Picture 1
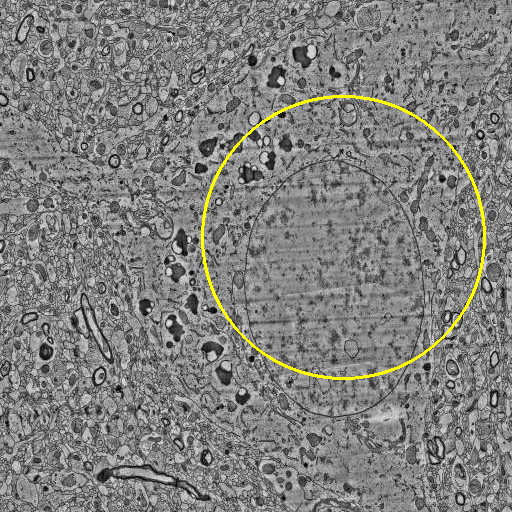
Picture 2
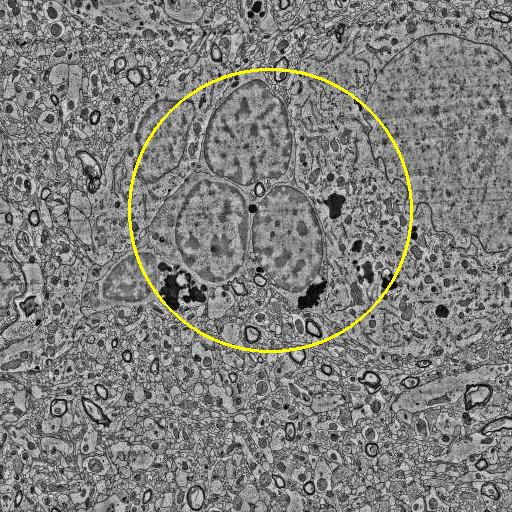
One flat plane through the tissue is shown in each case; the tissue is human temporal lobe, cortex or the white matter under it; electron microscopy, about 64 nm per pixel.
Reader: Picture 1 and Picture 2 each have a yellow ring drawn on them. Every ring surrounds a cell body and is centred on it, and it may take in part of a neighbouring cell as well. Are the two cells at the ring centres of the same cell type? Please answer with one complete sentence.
No, the cells are of two cell types.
